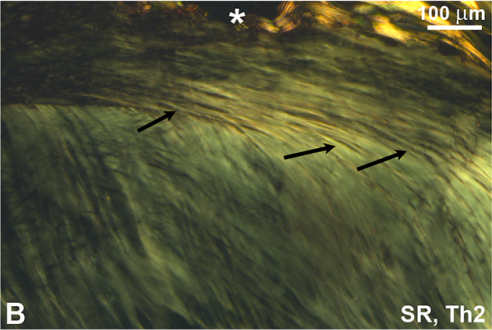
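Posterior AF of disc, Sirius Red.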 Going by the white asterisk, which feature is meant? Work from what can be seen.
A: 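Fibers below curve up toward this band.
Endplate.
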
